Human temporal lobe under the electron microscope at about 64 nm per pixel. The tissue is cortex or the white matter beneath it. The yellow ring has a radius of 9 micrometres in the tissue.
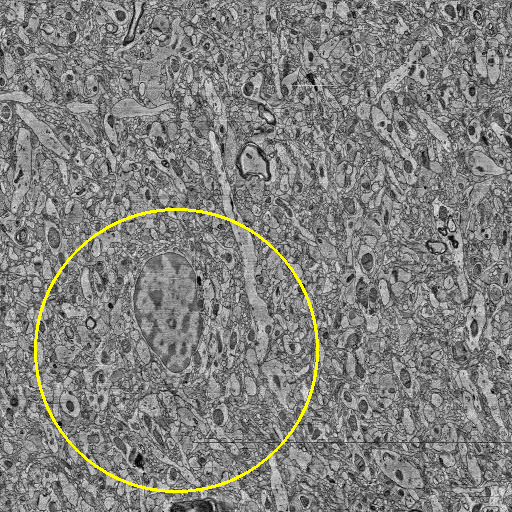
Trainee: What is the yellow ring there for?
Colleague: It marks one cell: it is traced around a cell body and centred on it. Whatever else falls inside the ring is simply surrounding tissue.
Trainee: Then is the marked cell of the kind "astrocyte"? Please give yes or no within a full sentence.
No, the marked cell at the centre of the yellow ring is of a different kind.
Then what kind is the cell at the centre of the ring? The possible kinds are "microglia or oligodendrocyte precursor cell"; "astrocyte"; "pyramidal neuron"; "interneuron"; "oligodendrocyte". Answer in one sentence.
The correct answer is that the cell is a microglial cell or oligodendrocyte precursor cell.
